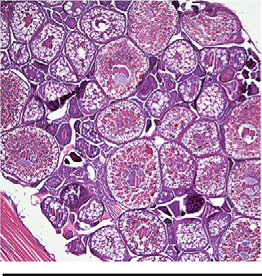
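This section of ovary is filled with tightly packed oocytes of many sizes, each enclosed in a thin follicle layer. Smaller, earlier oocytes lie in the spaces between them and stain more purple. The follicles have smooth, intact outlines and little space lies between them. A strip of pink skeletal muscle is seen at the lower left edge.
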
